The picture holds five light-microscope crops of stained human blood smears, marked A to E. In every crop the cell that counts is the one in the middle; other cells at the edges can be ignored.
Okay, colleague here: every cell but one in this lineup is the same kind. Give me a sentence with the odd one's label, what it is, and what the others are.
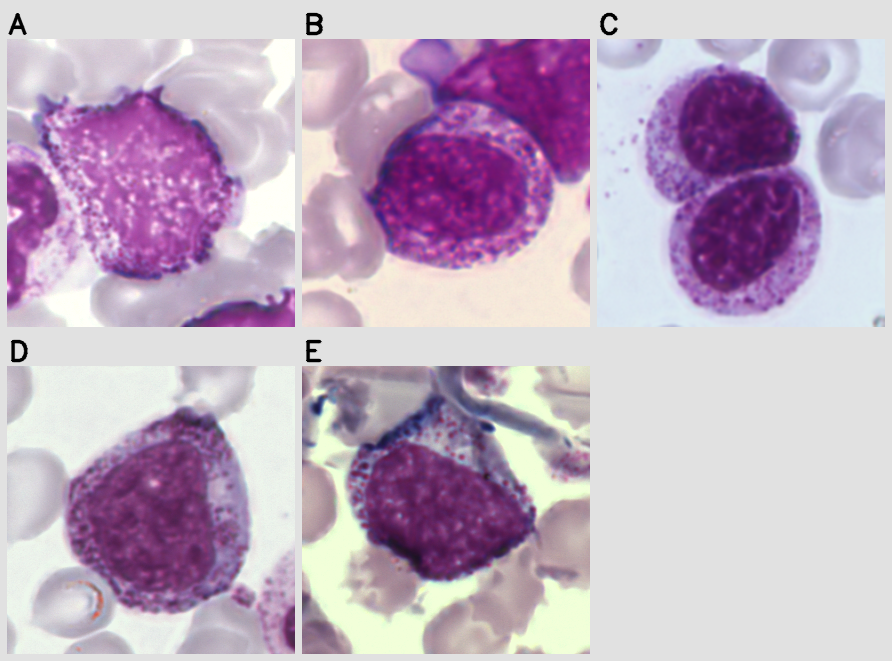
In every crop except crop D, which shows a promyelocyte, myelocytes are shown.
